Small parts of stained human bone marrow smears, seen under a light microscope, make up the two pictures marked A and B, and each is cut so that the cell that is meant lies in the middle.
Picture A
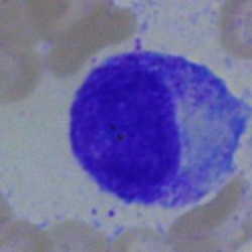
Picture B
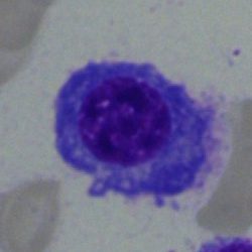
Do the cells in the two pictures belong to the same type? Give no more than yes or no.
no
